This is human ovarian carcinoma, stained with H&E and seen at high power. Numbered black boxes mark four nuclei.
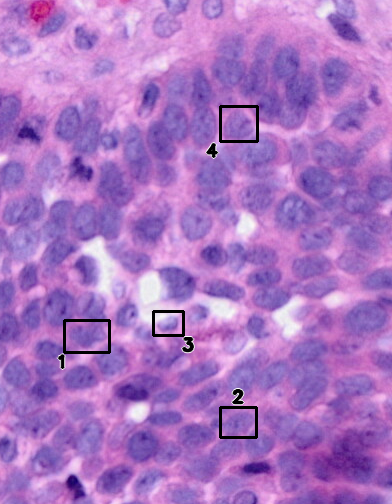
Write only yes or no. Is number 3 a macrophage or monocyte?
yes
